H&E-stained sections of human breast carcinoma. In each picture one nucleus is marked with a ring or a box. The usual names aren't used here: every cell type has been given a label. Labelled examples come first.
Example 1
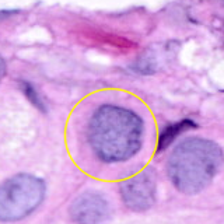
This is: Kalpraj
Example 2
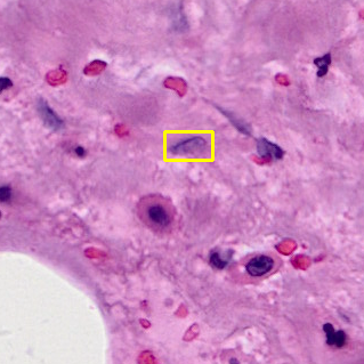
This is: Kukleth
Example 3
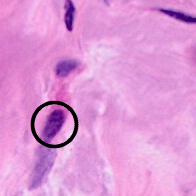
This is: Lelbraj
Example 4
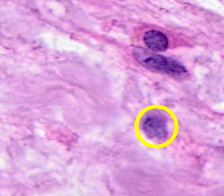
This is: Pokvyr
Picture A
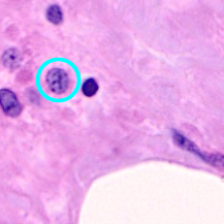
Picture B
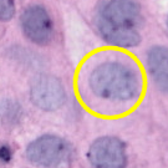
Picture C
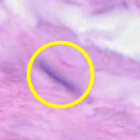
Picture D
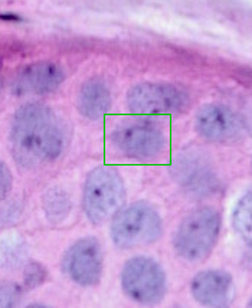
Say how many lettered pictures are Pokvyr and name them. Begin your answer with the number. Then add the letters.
0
